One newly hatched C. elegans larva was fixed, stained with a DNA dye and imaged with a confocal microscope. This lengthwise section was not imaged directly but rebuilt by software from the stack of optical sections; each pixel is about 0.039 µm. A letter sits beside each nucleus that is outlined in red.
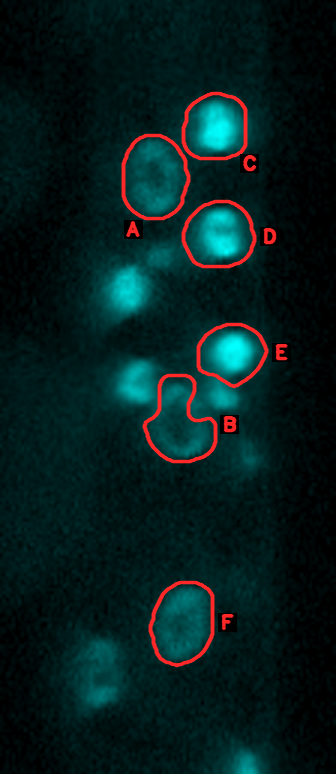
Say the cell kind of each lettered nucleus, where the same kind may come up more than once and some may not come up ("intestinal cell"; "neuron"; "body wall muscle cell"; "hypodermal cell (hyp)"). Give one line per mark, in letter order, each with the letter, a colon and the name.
A: intestinal cell
B: intestinal cell
C: body wall muscle cell
D: body wall muscle cell
E: neuron
F: intestinal cell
